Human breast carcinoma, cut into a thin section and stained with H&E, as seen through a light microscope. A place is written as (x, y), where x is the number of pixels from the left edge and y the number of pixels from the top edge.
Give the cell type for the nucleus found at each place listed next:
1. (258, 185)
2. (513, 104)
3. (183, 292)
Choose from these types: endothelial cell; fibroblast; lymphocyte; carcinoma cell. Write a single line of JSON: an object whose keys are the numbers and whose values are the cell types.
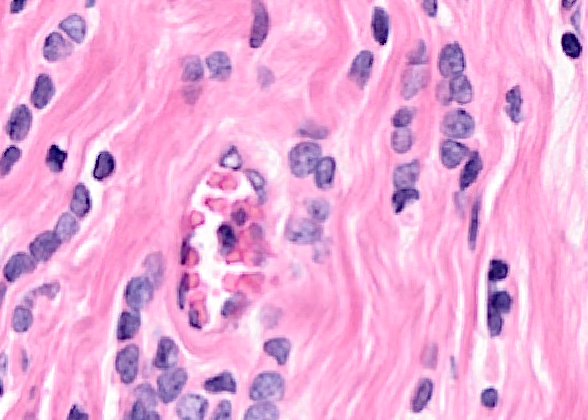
{"1": "endothelial cell", "2": "lymphocyte", "3": "endothelial cell"}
